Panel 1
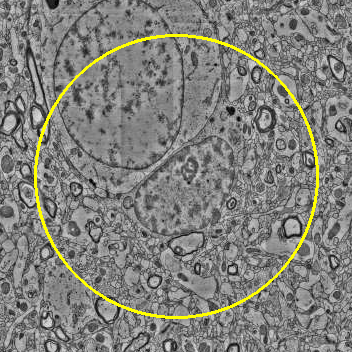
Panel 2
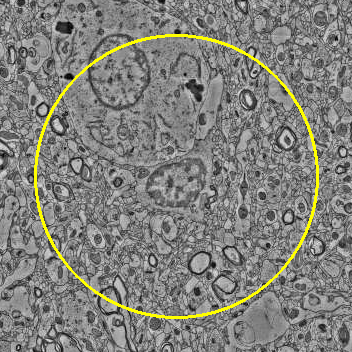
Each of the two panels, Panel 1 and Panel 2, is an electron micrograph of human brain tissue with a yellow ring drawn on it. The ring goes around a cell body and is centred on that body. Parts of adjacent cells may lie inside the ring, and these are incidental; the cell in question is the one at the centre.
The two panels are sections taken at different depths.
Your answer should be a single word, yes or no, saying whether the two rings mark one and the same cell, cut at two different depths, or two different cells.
yes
